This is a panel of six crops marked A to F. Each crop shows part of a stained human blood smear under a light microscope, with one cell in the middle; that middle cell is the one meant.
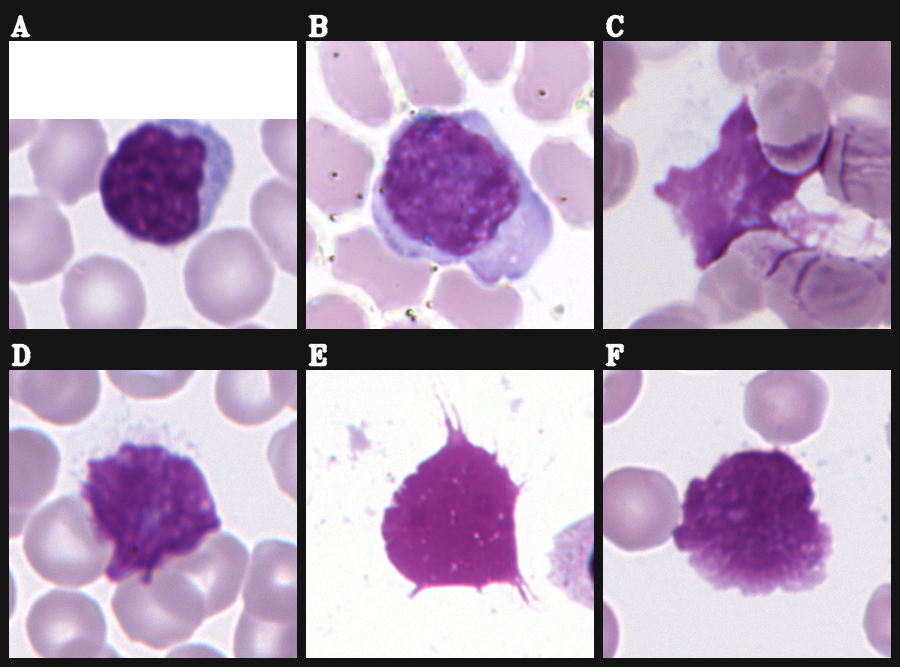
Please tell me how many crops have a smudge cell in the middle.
4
